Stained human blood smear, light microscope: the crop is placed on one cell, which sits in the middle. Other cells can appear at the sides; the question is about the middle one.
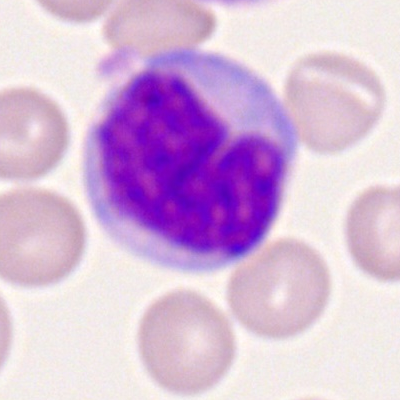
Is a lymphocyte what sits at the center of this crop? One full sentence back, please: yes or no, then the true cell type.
No, the central cell is a monocyte; it should not be labelled a lymphocyte.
